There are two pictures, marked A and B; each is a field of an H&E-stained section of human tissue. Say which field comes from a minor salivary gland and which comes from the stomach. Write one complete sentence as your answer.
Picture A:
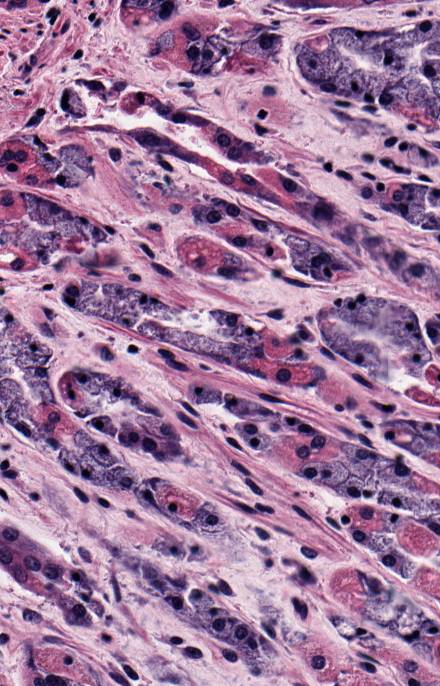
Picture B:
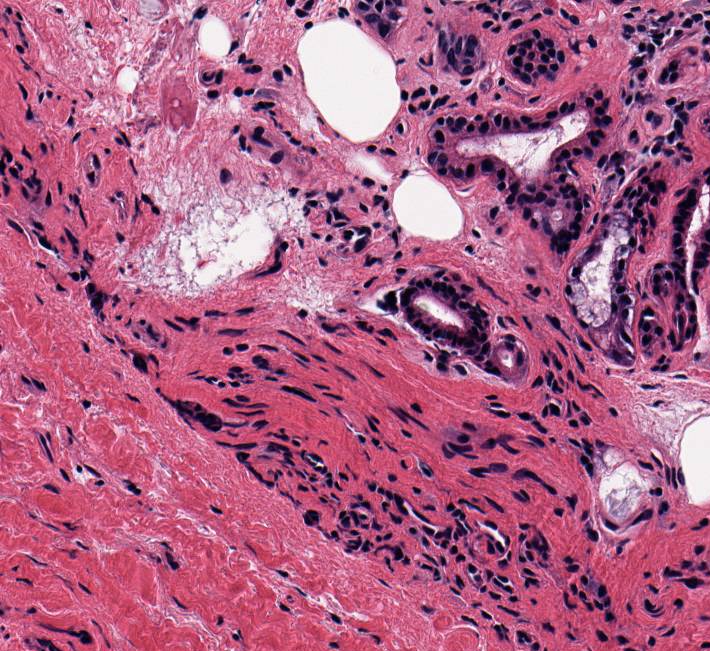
Picture A comes from the stomach and picture B comes from a minor salivary gland.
